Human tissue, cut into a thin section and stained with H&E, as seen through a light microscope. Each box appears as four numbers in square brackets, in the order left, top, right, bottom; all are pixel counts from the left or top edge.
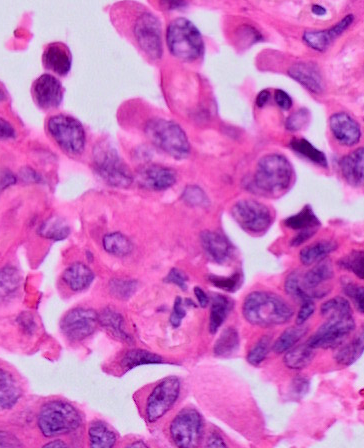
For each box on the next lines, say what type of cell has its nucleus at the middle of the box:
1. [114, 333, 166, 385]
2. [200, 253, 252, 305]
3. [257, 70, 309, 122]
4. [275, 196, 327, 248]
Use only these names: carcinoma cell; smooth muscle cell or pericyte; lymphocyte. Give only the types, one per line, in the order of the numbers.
carcinoma cell
carcinoma cell
lymphocyte
carcinoma cell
